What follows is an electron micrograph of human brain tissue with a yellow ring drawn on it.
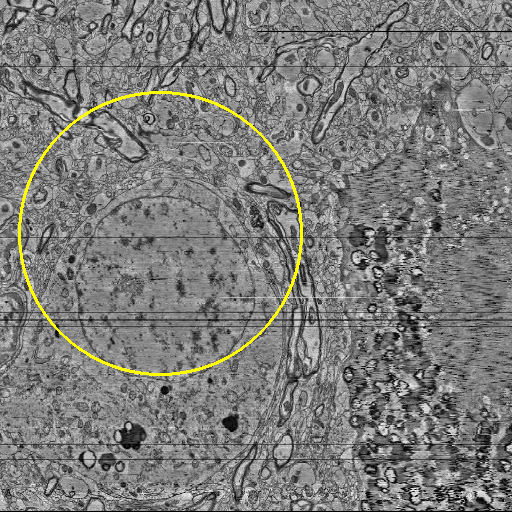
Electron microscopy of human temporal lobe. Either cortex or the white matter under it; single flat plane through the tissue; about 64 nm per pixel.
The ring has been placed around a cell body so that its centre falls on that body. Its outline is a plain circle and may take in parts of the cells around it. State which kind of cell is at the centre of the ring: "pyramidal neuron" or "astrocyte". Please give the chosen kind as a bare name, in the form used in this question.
pyramidal neuron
